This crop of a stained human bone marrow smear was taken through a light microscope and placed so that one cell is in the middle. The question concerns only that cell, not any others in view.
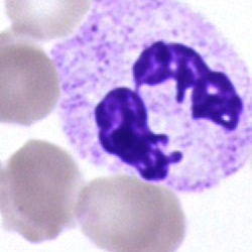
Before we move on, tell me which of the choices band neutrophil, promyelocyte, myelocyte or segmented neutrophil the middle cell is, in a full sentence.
The central element of this crop is a cell, namely a segmented neutrophil.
